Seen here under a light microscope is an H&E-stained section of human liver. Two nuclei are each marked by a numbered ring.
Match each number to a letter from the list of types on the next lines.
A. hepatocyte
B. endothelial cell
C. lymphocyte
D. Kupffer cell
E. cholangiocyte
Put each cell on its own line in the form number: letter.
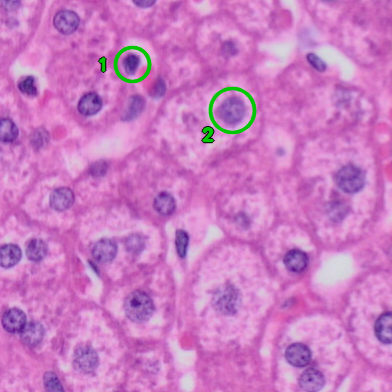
1: C
2: A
